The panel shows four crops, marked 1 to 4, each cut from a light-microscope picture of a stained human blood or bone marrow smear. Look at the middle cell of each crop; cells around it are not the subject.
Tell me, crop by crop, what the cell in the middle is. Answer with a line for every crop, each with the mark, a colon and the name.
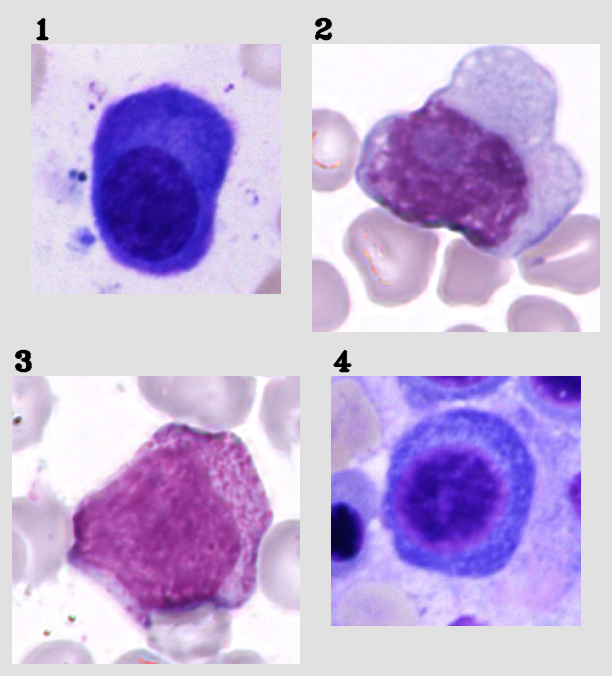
1: plasma cell
2: plasma cell
3: myelocyte
4: plasma cell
